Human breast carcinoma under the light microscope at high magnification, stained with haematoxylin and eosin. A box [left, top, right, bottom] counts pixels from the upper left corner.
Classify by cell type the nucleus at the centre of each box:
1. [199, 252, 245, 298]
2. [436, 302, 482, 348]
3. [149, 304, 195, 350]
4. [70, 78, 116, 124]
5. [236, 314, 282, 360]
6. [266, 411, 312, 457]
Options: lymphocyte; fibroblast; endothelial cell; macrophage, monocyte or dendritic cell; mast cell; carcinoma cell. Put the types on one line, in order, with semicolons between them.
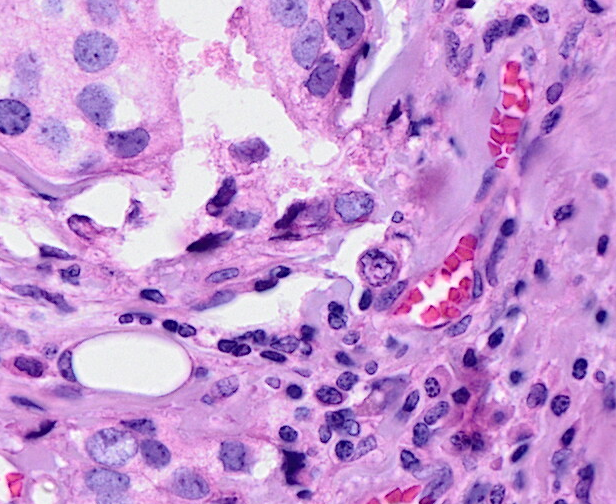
endothelial cell; endothelial cell; lymphocyte; carcinoma cell; lymphocyte; lymphocyte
